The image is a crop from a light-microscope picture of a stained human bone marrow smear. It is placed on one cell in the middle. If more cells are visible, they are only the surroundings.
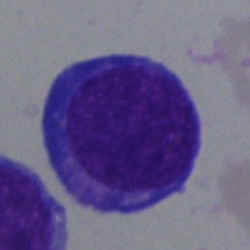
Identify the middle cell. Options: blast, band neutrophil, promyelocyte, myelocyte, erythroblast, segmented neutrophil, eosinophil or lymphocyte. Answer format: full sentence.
The cell at the middle of the crop is recognized as a blast.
